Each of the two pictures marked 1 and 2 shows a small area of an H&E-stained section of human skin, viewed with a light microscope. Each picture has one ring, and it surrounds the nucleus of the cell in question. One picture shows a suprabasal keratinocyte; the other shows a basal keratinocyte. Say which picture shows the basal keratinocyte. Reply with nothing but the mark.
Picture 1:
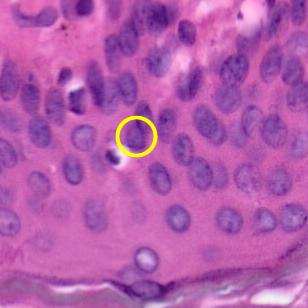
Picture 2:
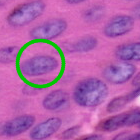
1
